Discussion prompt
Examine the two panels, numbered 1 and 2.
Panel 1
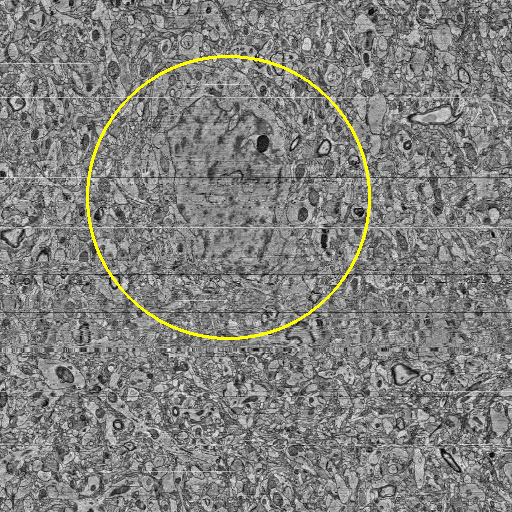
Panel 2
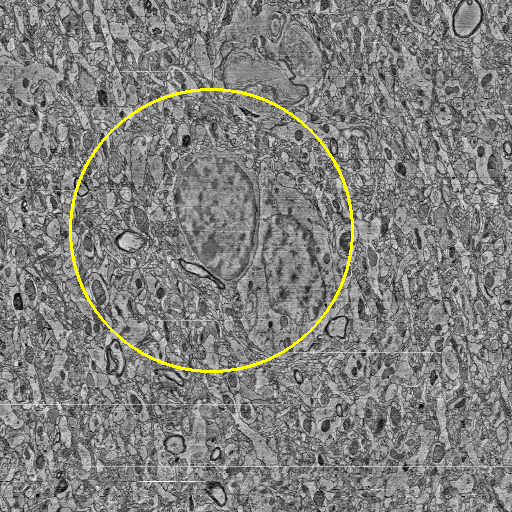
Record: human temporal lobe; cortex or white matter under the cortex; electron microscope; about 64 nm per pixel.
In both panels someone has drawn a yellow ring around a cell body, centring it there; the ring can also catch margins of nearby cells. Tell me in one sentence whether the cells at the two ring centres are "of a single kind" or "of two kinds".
Taken together, the two cells centred in the rings of Panels 1 and 2 are of two kinds.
